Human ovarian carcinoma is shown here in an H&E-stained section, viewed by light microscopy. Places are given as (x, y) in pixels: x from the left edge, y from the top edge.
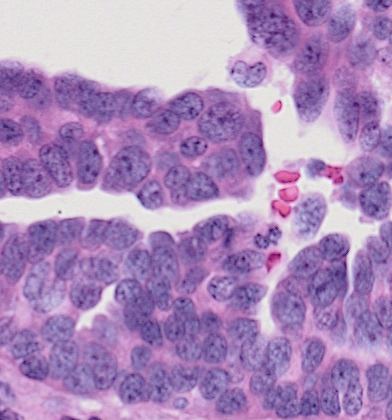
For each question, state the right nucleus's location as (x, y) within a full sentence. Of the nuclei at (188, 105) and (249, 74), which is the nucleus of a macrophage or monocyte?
Between the two nuclei, the one sitting at (249, 74) belongs to a macrophage or monocyte.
